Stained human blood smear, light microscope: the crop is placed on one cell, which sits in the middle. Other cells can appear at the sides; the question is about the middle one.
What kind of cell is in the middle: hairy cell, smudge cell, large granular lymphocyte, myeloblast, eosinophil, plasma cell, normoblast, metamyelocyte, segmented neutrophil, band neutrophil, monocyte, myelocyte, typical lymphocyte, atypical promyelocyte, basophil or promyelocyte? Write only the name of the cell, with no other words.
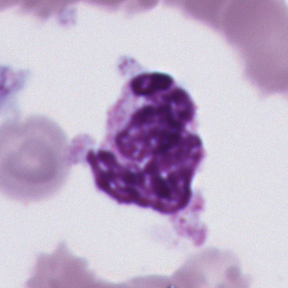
segmented neutrophil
